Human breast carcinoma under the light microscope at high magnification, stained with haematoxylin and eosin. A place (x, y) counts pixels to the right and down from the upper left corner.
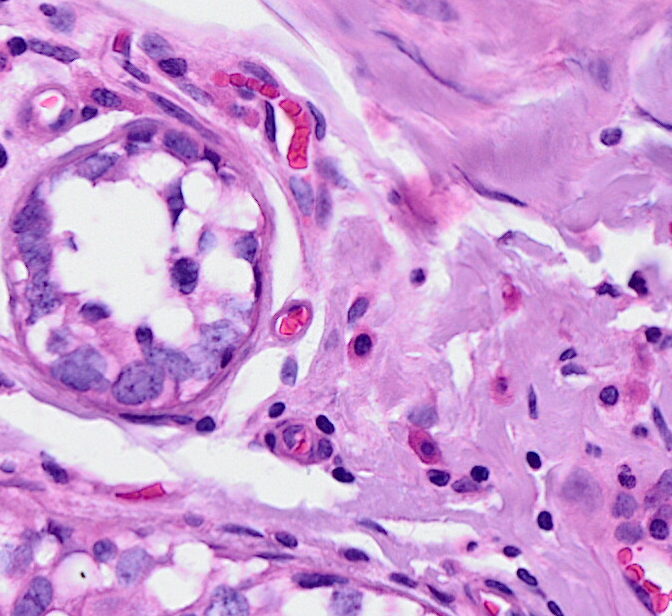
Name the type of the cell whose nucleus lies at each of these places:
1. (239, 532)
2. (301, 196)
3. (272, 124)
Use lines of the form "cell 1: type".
cell 1: fibroblast
cell 2: endothelial cell
cell 3: endothelial cell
